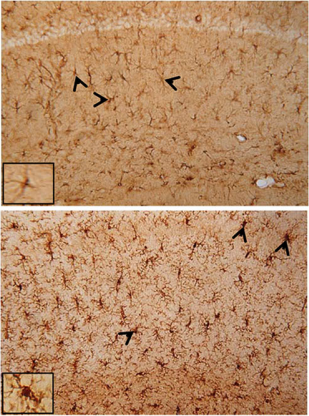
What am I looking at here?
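The upper image shows hippocampal tissue with astrocytes stained brown, seen as small cell bodies from which thin processes radiate in a star-like pattern. A pale band of unstained tissue crosses the top of the field, and the astrocytes lie scattered in the surrounding tissue. The lower image shows microglia as small dark brown cell bodies giving off many fine, branching processes. These cells are spread fairly evenly and densely over a light brown background. Insets in the lower left corners enlarge single stained cells to show their branched outlines.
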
